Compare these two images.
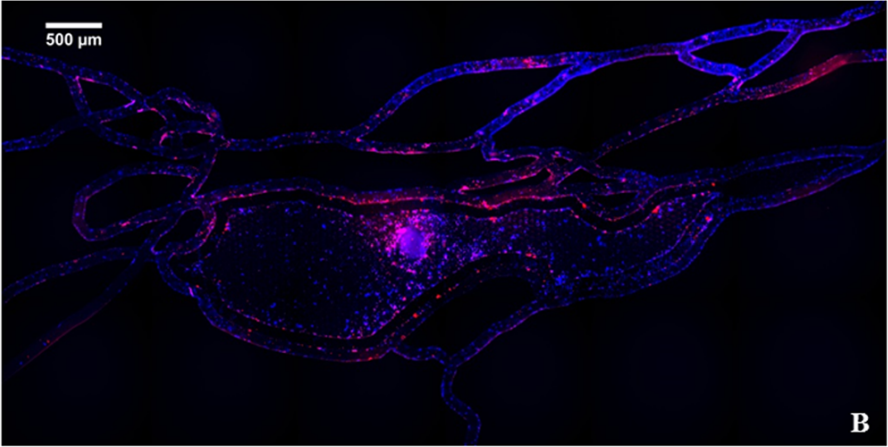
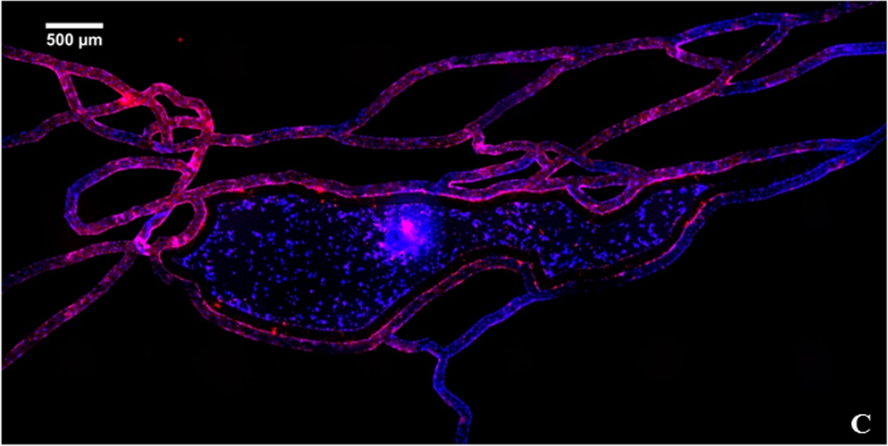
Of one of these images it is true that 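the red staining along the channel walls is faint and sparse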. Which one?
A: The first image.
